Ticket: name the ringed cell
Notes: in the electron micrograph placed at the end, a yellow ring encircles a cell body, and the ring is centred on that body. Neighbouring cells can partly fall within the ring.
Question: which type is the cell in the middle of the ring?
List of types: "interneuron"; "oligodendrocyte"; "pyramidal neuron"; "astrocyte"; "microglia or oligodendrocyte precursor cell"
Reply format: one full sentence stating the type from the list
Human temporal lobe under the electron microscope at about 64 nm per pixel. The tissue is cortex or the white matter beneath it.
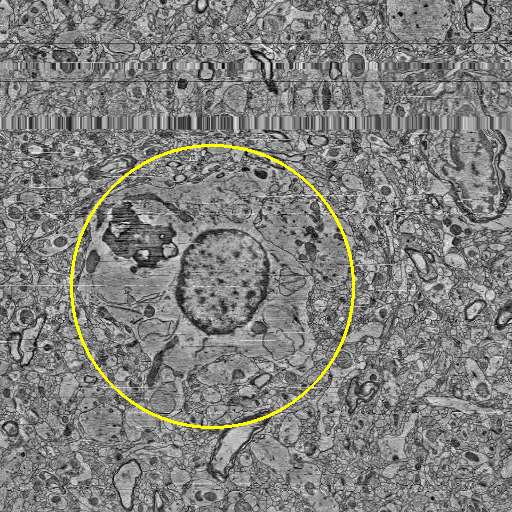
The cell sitting at the centre of the yellow ring is an astrocyte.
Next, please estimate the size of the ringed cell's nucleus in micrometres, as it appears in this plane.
The ringed cell's nucleus is about 7 micrometres long and 6 micrometres wide in this plane.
